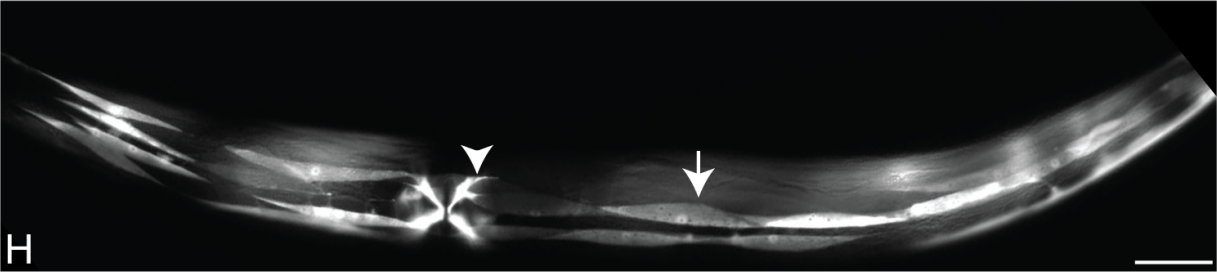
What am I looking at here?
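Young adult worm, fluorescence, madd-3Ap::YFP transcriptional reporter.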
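This fluorescent image of a nematode shows body wall muscles as elongated, spindle-shaped cells lying in longitudinal rows along the body. Near mid-body a bright cluster of vulva muscles forms an X-shaped pattern, its processes converging toward the centre.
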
